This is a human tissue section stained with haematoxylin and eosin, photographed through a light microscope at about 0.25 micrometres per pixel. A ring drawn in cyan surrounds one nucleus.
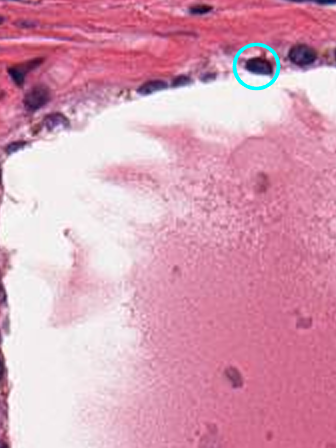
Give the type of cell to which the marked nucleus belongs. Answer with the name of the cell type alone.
thyroid follicular cell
